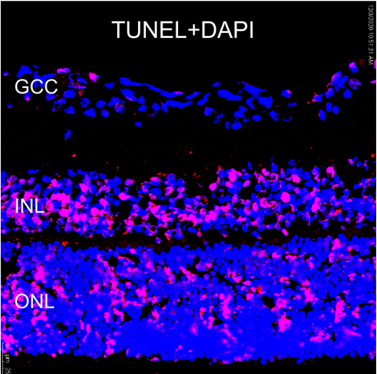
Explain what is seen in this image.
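Retina in cross-section showing three nuclear bands in blue: a sparse top band of scattered elongated and round nuclei, a middle band of several rows of nuclei, and a thick, densely packed bottom band of small round nuclei. Many nuclei in the middle and bottom bands are overlaid by bright red-to-magenta label, appearing as rounded or irregular clumps; a few labelled nuclei also lie in the top band. The nuclear bands look loosened, with dark gaps and irregular spacing among nuclei, especially in the bottom band.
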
